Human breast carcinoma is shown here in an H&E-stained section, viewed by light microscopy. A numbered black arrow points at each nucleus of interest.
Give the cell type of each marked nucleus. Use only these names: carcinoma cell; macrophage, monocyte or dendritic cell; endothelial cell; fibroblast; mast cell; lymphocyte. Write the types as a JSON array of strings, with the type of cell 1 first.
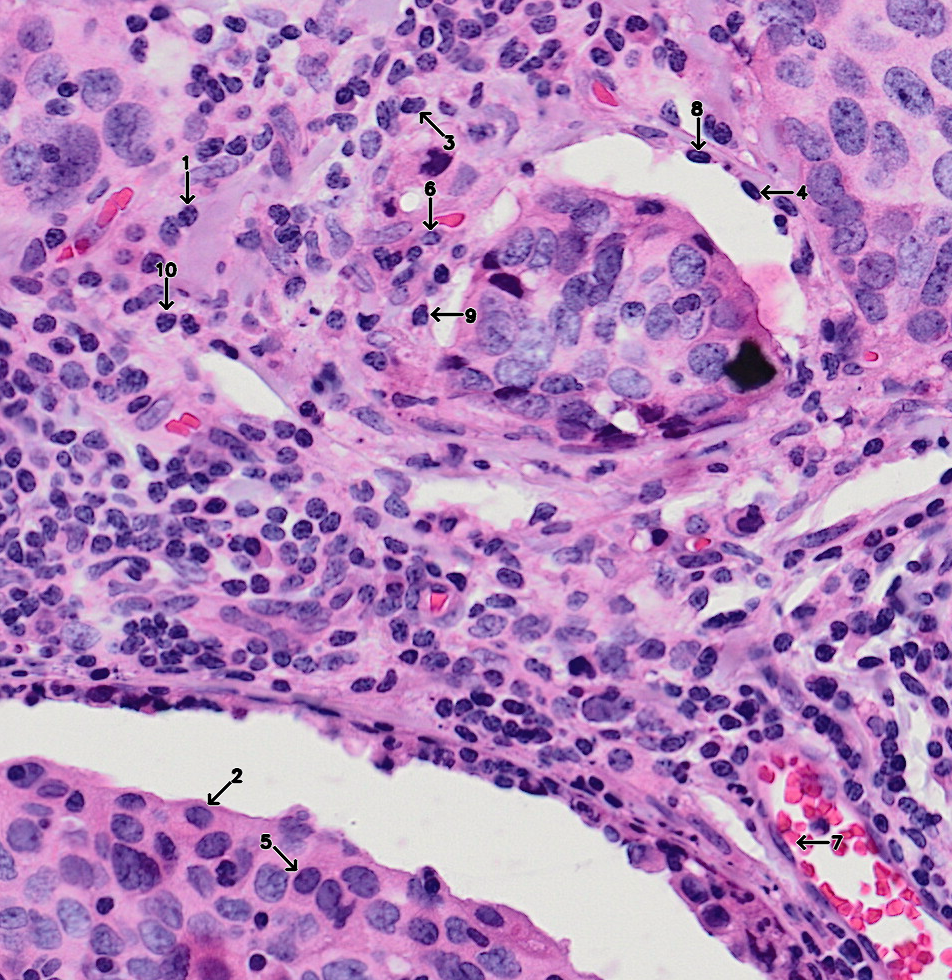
["lymphocyte", "carcinoma cell", "lymphocyte", "lymphocyte", "carcinoma cell", "endothelial cell", "endothelial cell", "lymphocyte", "lymphocyte", "lymphocyte"]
